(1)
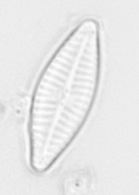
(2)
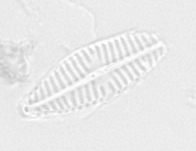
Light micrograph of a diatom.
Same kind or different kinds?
Same: Navicula.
